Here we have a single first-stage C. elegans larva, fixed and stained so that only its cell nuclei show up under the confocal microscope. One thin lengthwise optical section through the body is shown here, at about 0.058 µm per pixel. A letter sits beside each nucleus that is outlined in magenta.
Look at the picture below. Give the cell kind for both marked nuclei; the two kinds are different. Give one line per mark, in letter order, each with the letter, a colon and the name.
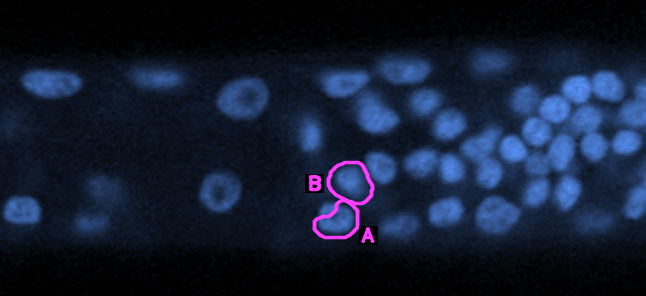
A: body wall muscle cell
B: pharyngeal gland cell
